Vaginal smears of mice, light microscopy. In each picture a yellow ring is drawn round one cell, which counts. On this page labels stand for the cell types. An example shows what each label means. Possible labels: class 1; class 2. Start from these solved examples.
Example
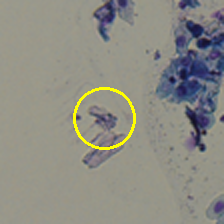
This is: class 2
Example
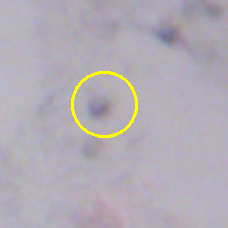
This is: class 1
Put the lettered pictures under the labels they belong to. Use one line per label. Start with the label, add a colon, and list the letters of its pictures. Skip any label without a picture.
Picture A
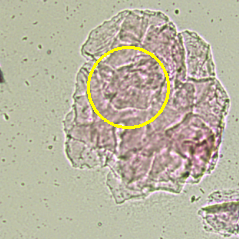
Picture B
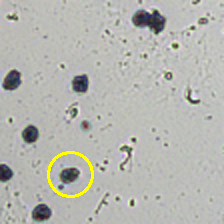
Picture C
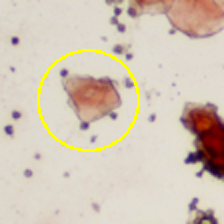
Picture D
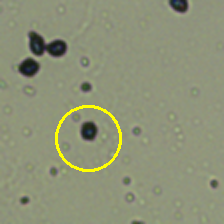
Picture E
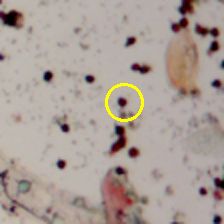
class 1: B, D, E
class 2: A, C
